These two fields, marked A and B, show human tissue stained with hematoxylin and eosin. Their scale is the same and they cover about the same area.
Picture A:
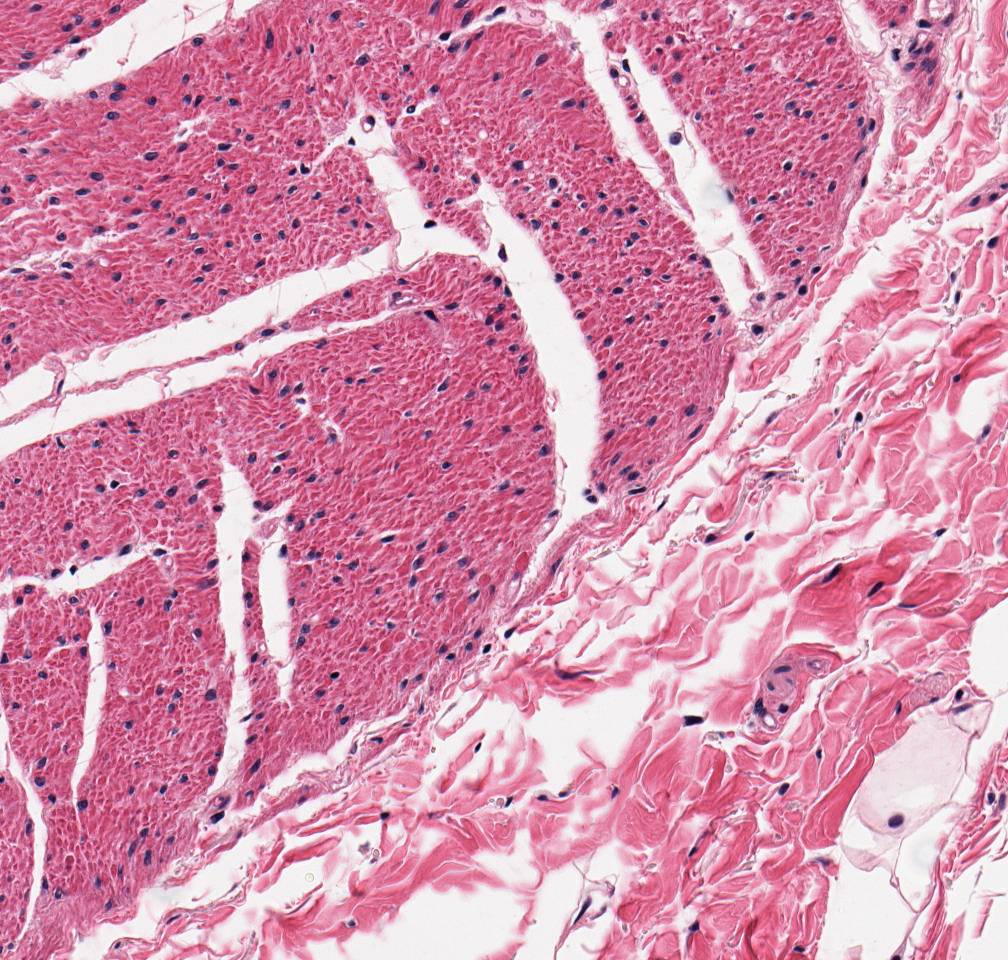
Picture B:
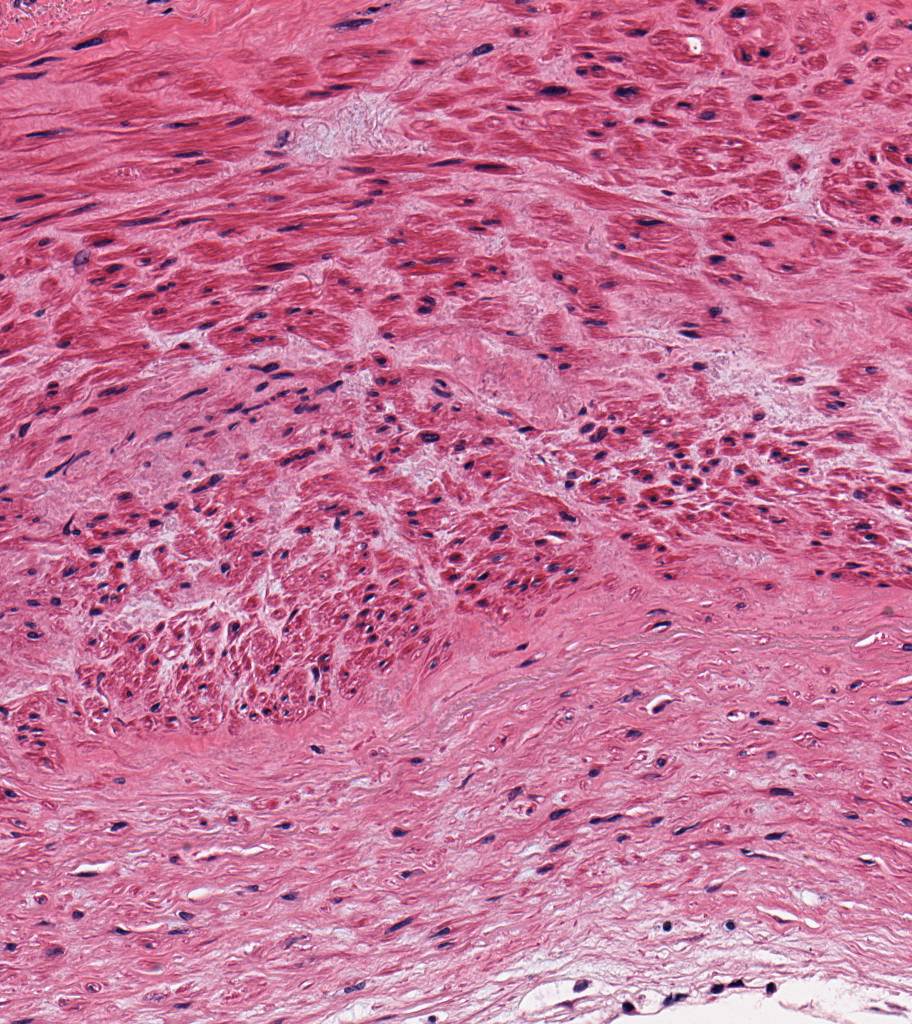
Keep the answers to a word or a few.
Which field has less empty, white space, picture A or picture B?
B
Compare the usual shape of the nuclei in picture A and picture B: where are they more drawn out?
B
